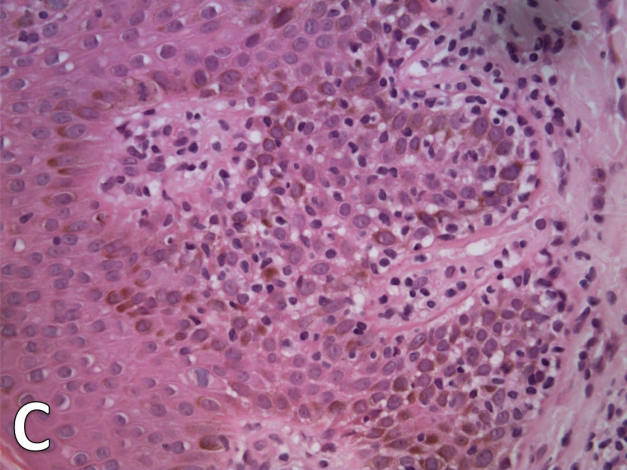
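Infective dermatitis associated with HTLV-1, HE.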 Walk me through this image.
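The lower epidermis of skin is shown at high power, with pink keratinocytes that have oval nuclei and abundant cytoplasm. Scattered among them, especially toward the basal layer, lie single small lymphocytes with dark round nuclei, many sitting in clear halos. Some basal keratinocytes hold brown pigment.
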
